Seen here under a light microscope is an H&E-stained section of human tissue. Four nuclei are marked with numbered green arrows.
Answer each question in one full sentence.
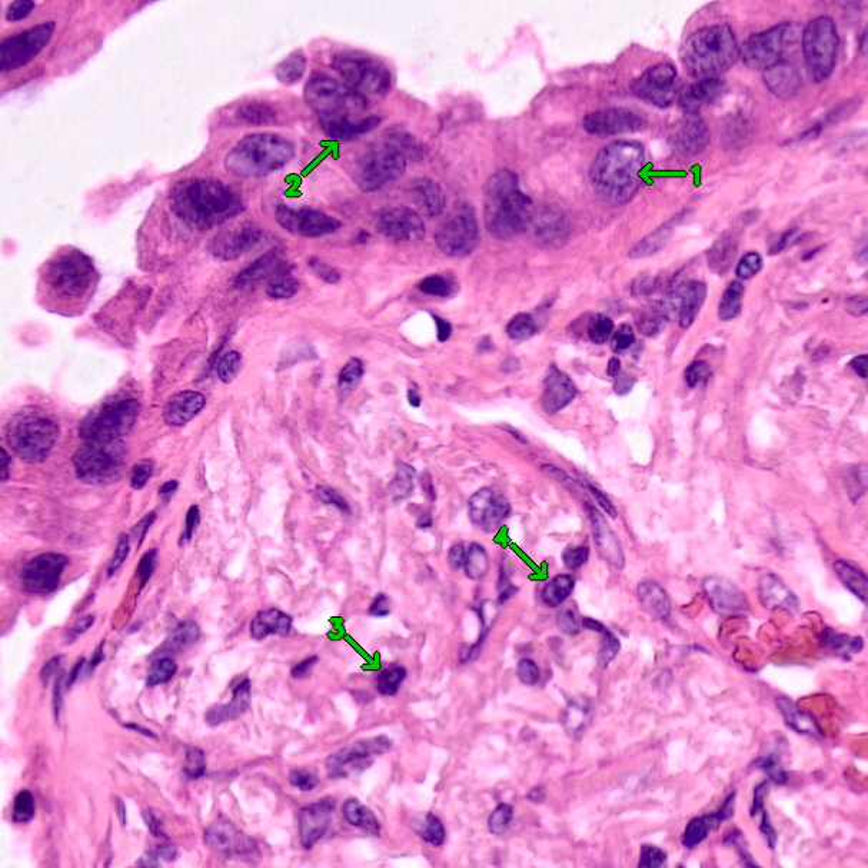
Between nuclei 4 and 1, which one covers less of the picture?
The smaller nucleus is 4, and 1 covers roughly 2.5 times its area.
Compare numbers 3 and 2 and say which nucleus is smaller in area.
Number 3 is smaller, since number 2 takes up about 1.5 times as much area.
